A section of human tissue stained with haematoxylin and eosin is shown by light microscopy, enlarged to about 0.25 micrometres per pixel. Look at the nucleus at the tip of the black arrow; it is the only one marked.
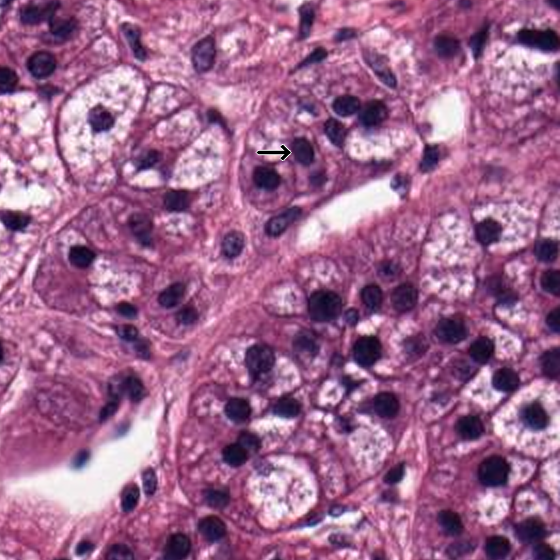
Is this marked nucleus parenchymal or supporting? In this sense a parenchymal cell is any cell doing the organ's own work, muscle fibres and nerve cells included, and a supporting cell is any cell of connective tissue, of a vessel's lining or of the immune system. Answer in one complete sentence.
The marked nucleus is part of the parenchyma, belonging to an adrenal cortical cell.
